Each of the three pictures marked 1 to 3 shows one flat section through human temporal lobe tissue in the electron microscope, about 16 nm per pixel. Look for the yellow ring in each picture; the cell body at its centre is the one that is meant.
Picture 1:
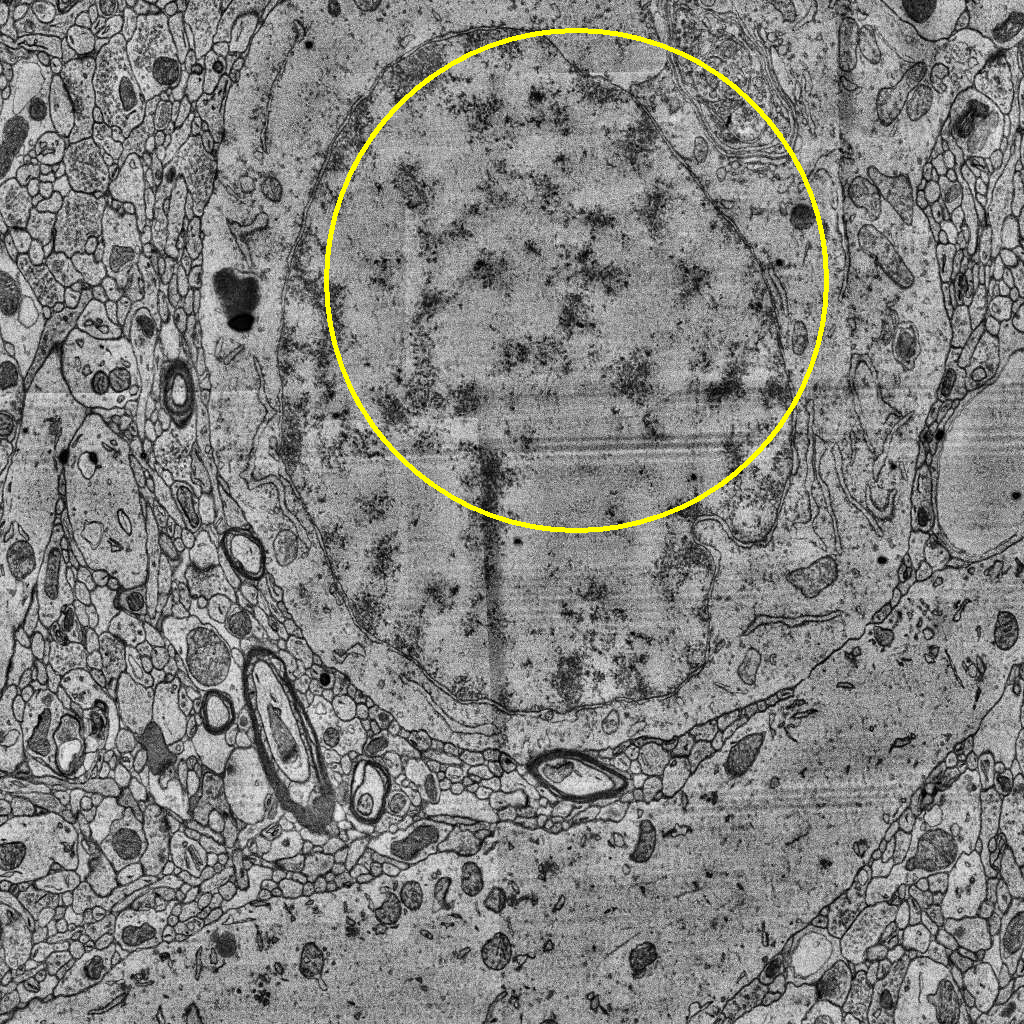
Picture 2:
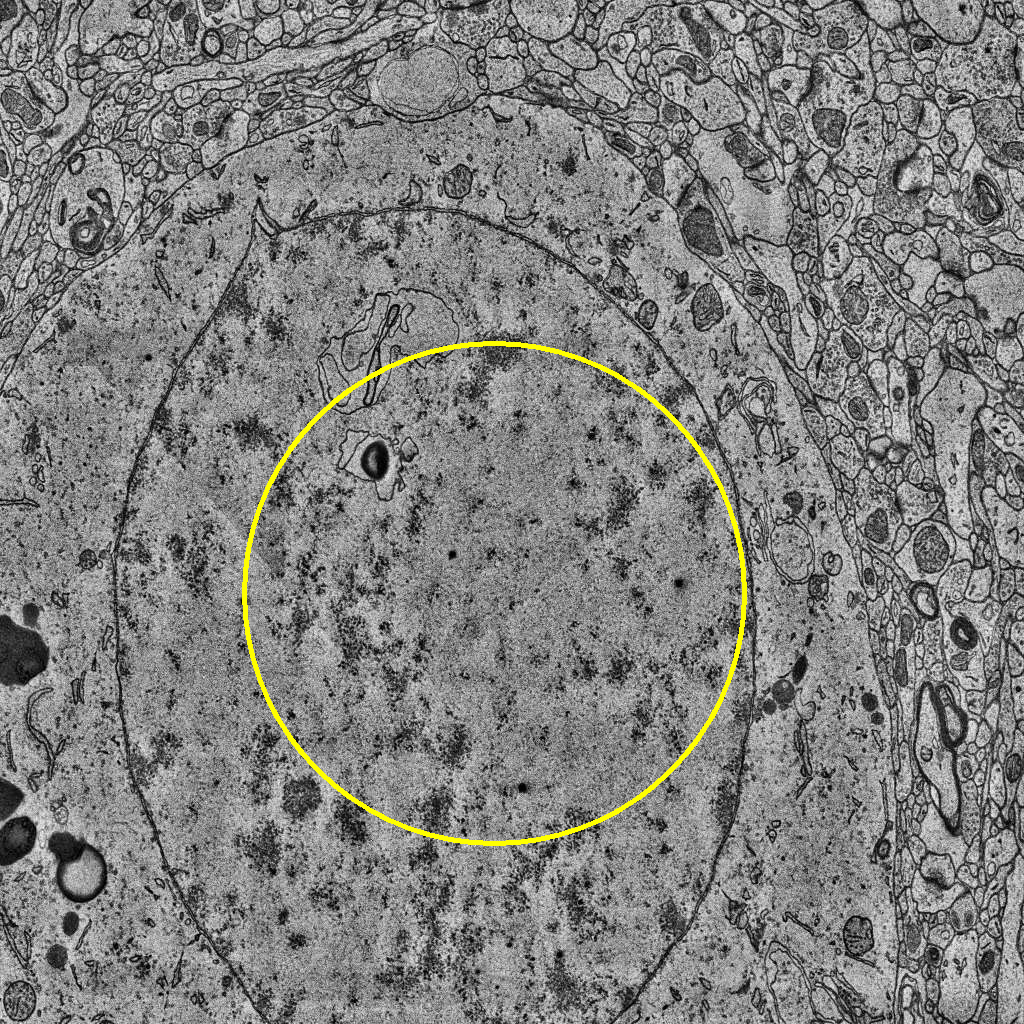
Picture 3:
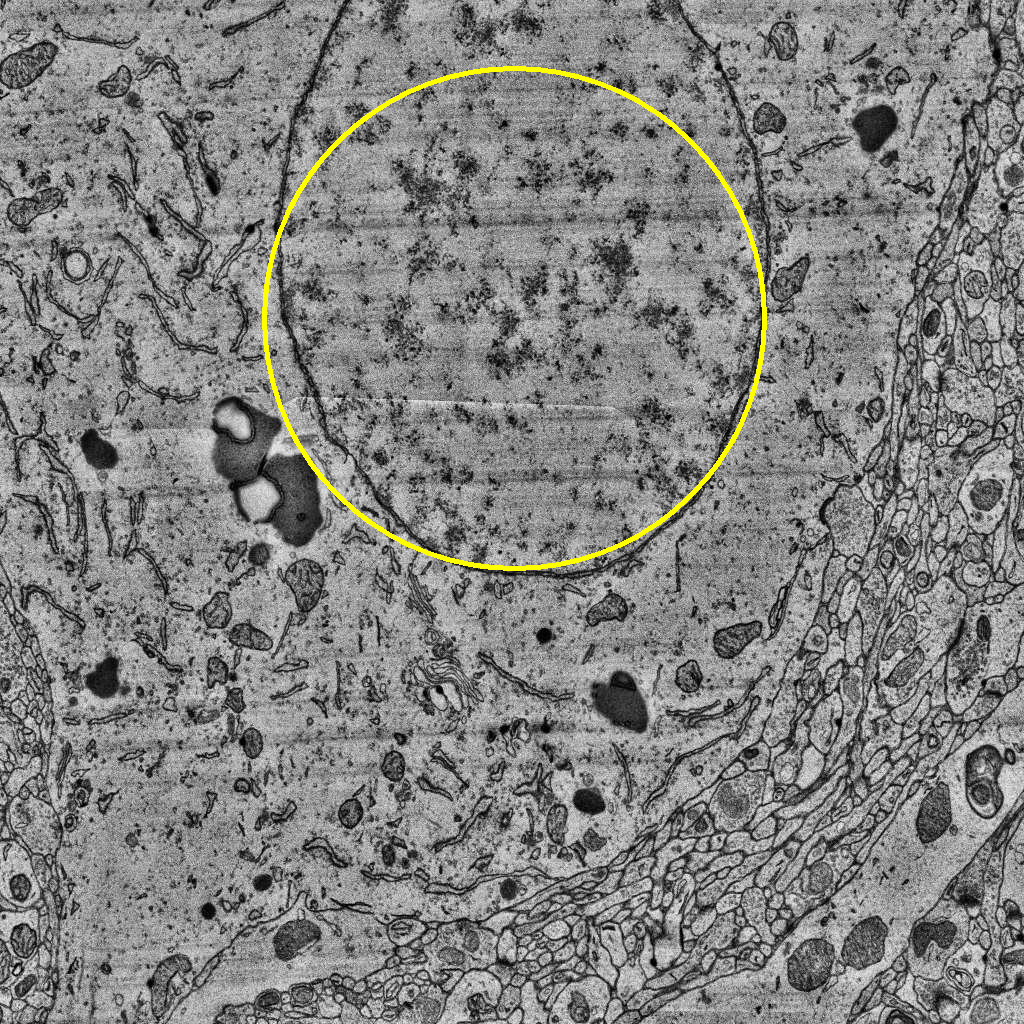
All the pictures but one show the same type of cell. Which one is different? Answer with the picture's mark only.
1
